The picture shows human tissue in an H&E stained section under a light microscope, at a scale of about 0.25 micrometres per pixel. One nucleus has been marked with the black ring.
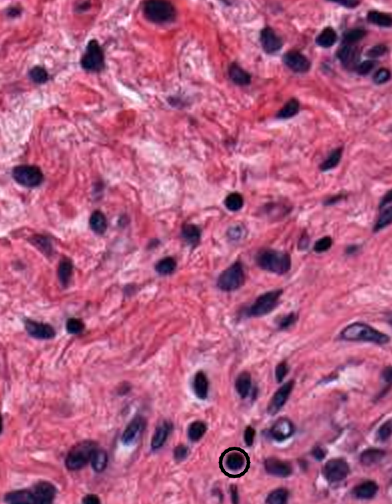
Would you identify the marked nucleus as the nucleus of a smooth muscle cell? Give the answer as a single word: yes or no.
no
